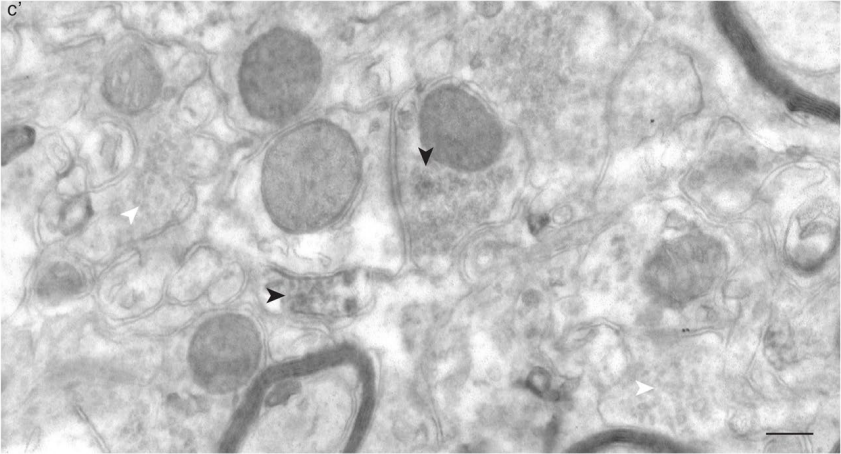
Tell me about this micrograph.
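Large round to oval mitochondria with a grey, finely textured matrix lie scattered between the profiles. Some terminals contain clusters of small round synaptic vesicles that are coated by a dark, granular deposit, while other terminals hold vesicles without such dark material. Thick, dark curved bands of compact myelin surround axons at the lower and right edges. Many thin membrane-bound profiles of various sizes fill the space between these structures.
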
